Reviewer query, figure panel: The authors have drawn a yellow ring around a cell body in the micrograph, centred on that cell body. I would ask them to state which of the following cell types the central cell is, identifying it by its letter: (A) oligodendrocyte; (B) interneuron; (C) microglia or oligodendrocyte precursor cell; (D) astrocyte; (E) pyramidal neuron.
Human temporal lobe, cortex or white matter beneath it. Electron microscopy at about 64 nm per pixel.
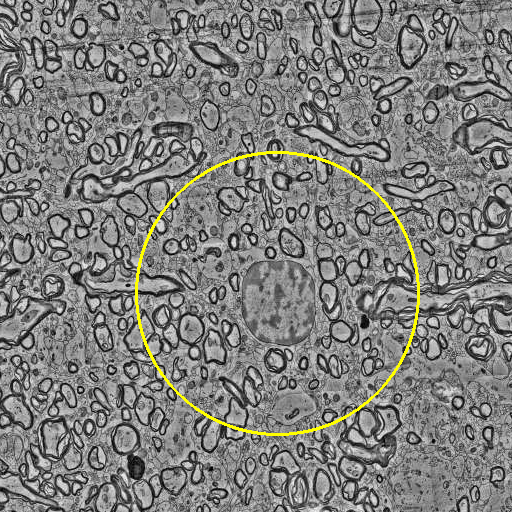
C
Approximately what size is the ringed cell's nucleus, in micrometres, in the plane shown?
The nucleus comes to roughly 6 by 5 micrometres in this plane.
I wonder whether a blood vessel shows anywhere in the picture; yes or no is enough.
No, no vessel appears in the picture.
